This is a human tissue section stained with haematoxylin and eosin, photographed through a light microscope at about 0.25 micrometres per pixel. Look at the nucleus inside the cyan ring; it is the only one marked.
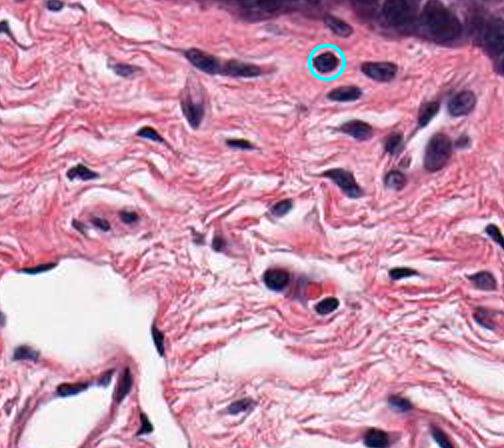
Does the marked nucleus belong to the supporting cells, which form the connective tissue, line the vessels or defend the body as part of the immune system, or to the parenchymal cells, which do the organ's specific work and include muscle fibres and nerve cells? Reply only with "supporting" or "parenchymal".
supporting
